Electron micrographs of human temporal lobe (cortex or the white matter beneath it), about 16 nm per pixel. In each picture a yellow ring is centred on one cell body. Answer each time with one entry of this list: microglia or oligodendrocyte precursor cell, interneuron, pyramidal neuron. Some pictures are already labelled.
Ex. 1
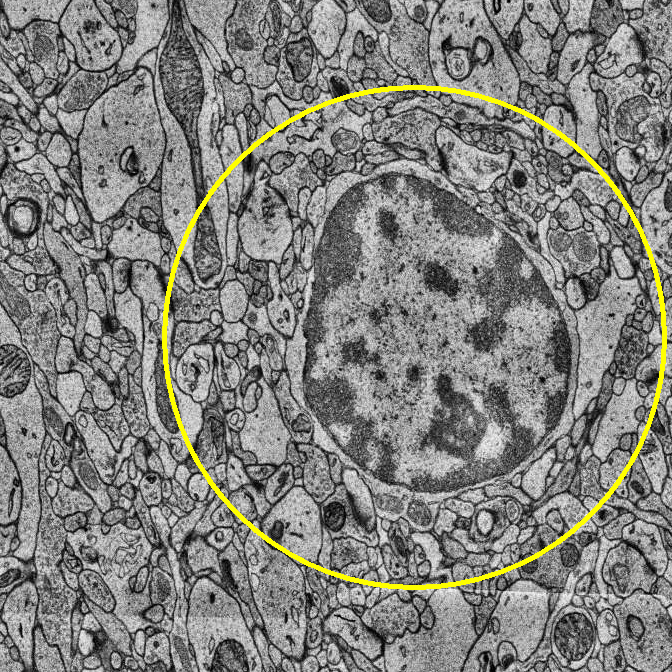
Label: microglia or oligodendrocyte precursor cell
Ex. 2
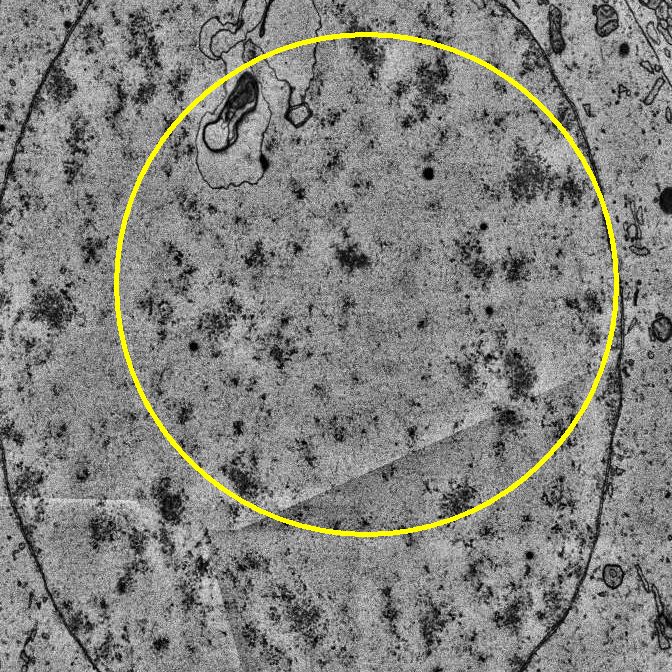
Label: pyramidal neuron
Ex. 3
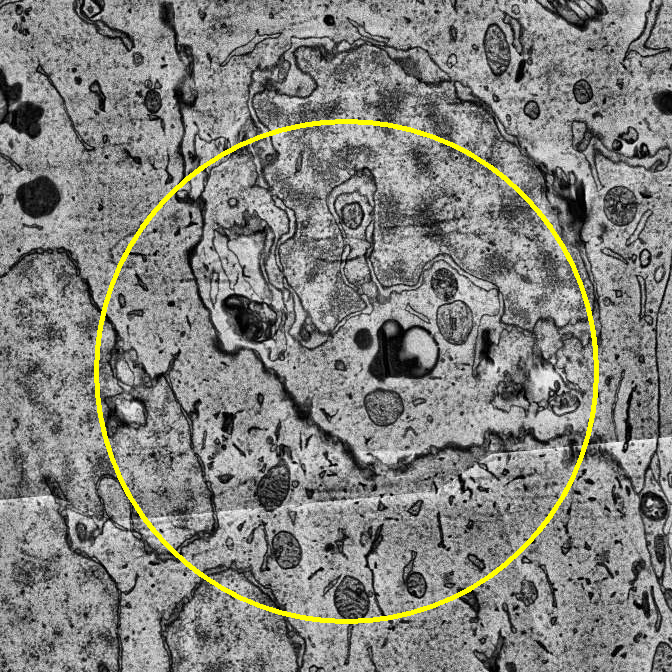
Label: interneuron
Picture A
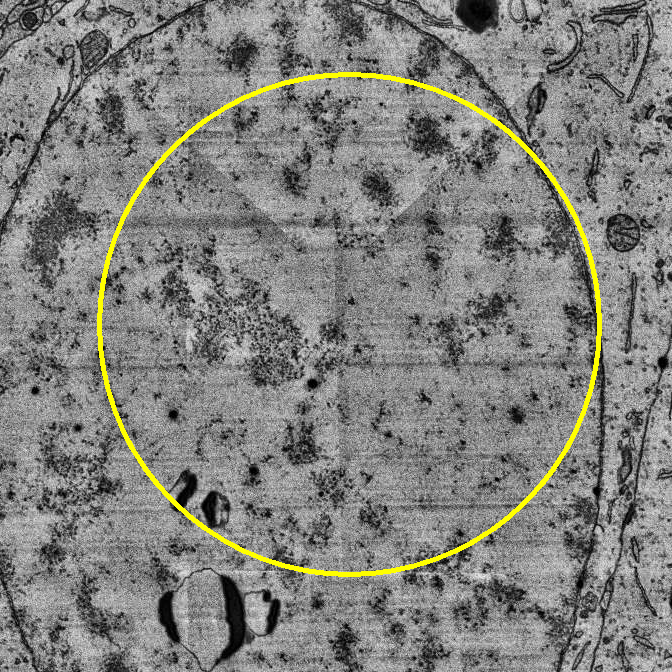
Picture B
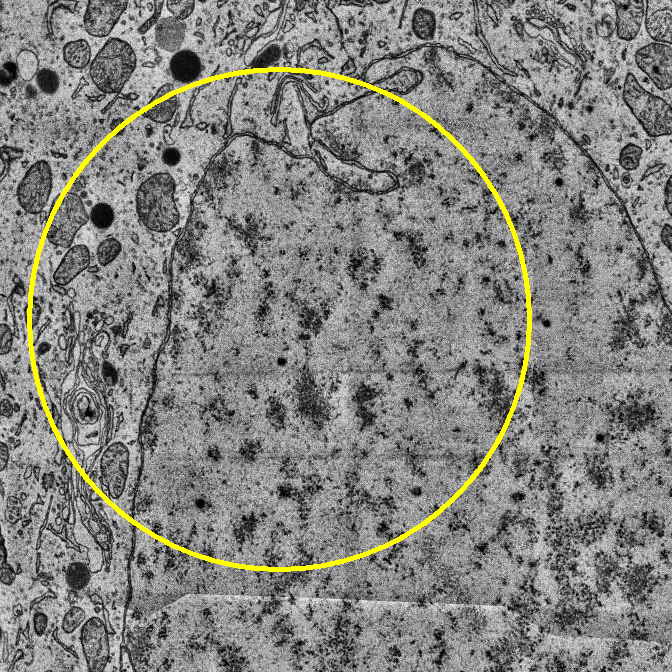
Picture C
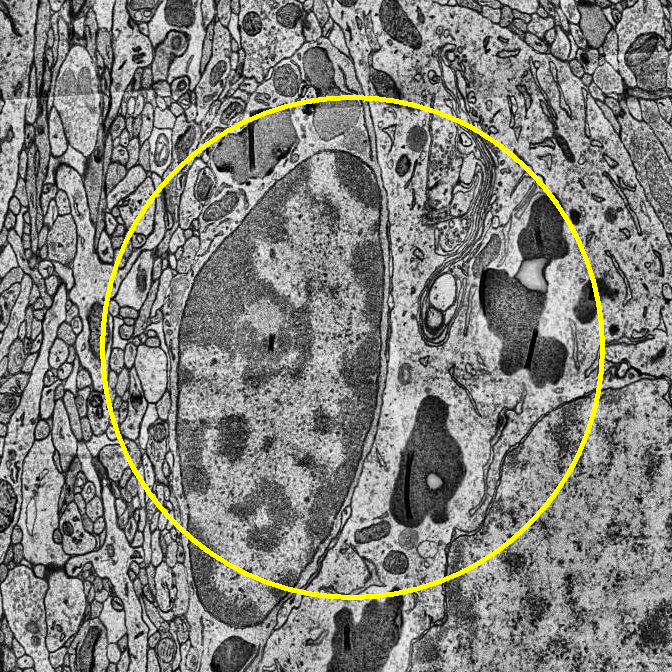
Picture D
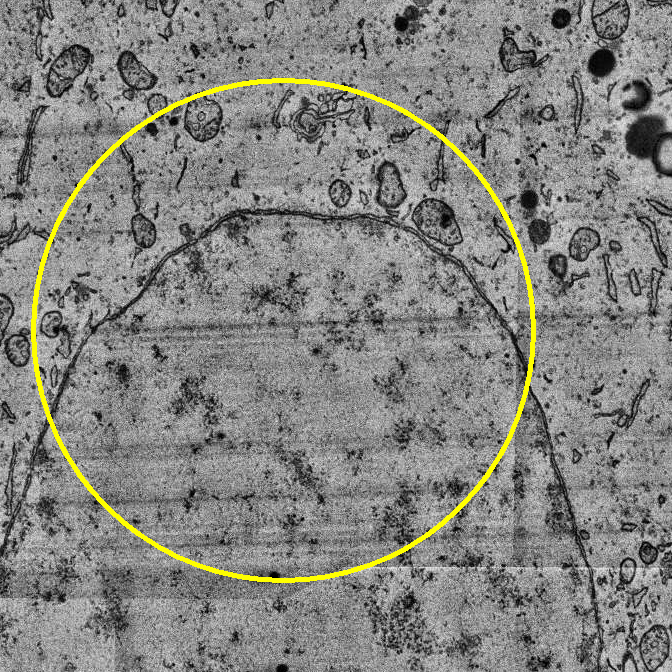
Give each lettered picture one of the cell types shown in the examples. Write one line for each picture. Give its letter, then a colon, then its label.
A: pyramidal neuron
B: interneuron
C: microglia or oligodendrocyte precursor cell
D: pyramidal neuron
